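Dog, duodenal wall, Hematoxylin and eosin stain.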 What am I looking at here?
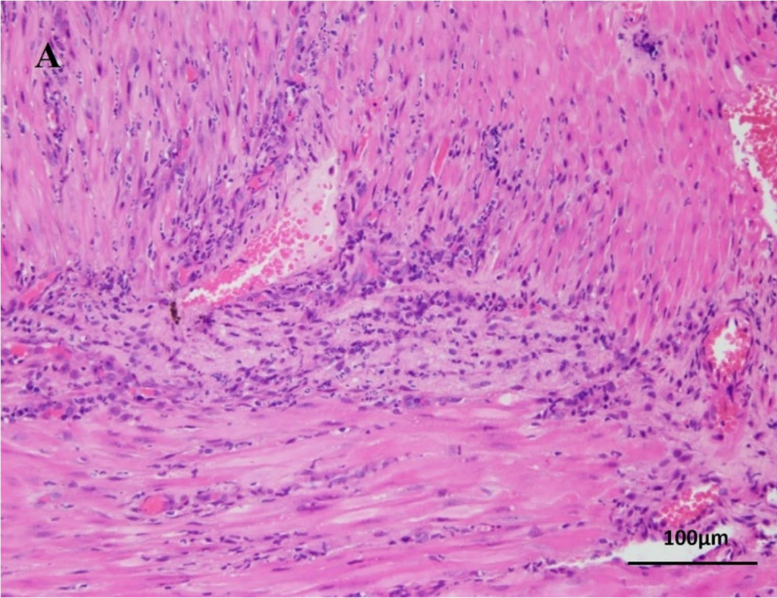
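The upper bundles run in one direction and the lower bundles in another, and between them runs a band crowded with small dark-nucleated inflammatory cells. These cells also spread in among the muscle fibres above and below the band. Several blood vessels filled with red blood cells lie along and within this band.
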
